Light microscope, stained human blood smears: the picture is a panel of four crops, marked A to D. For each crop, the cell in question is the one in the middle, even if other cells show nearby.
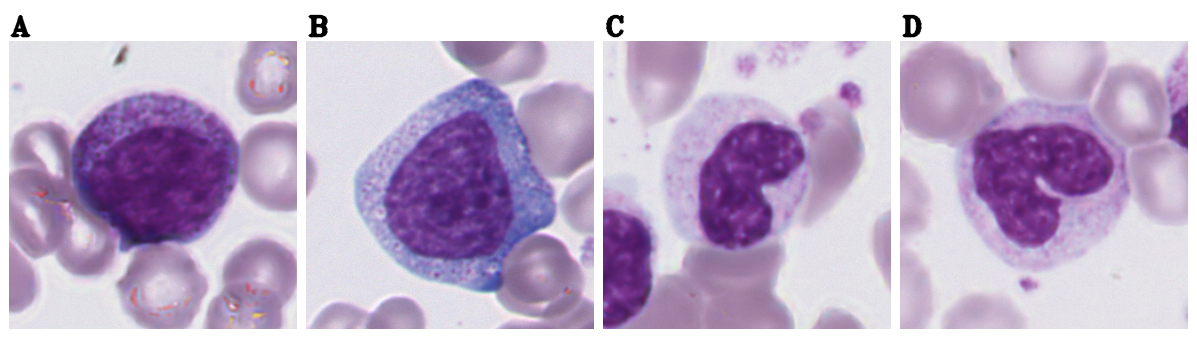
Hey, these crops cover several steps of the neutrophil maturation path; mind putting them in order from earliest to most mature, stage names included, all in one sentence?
The cells in order of increasing maturity are crop B (a promyelocyte), crop A (a myelocyte), crop C (a metamyelocyte) and crop D (a band neutrophil).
